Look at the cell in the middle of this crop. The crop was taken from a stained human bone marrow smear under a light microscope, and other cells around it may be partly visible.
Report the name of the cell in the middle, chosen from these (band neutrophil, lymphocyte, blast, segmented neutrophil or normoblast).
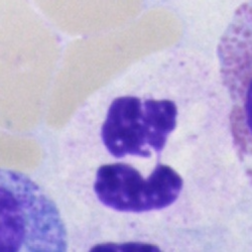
segmented neutrophil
